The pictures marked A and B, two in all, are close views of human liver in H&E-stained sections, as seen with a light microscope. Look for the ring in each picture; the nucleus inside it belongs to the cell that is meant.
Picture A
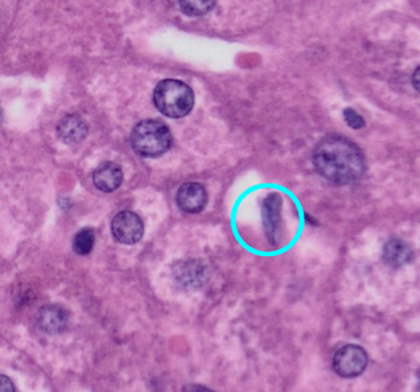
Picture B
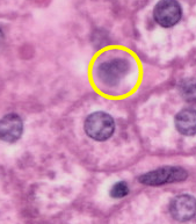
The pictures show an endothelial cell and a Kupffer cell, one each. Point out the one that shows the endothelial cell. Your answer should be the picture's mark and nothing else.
B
